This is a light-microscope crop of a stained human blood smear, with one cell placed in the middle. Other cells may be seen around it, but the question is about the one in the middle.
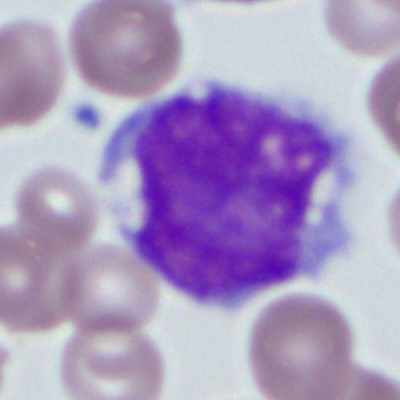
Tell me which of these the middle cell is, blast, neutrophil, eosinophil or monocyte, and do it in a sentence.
In the middle of this smear crop, the cell is a monocyte.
